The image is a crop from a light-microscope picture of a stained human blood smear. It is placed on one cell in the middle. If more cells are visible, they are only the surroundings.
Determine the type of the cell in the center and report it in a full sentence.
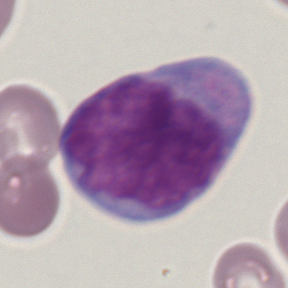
In the center of this field lies an atypical promyelocyte.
